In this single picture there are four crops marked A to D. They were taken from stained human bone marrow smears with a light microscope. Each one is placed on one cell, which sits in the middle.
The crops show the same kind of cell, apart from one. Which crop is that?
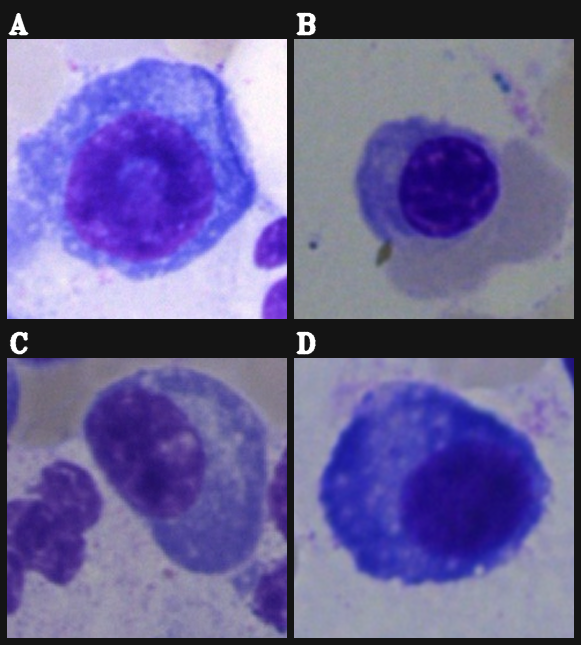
B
